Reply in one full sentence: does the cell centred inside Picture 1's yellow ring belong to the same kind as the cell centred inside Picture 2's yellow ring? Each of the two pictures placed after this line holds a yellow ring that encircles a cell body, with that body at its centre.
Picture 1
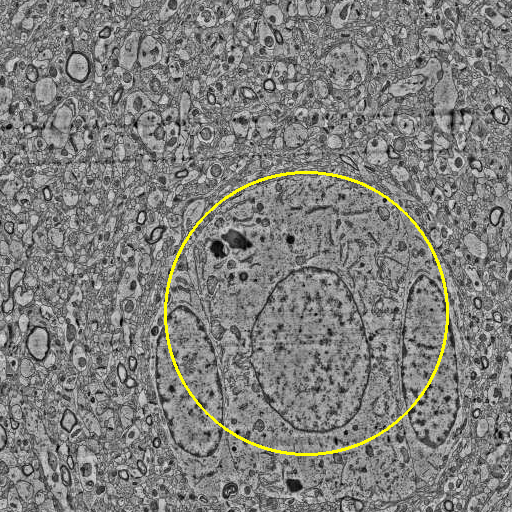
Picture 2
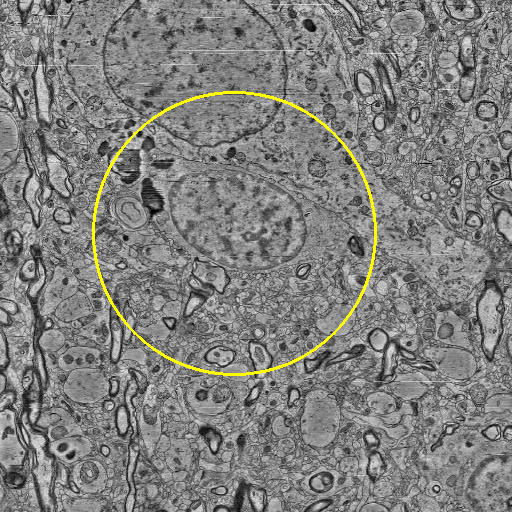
No, the ring-centred cells in Picture 1 and Picture 2 are of two separate kinds.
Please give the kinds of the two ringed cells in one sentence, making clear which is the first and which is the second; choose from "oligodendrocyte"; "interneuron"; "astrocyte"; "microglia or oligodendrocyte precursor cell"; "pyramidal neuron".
In the second picture the ringed cell is an oligodendrocyte; in the first it is a pyramidal neuron.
